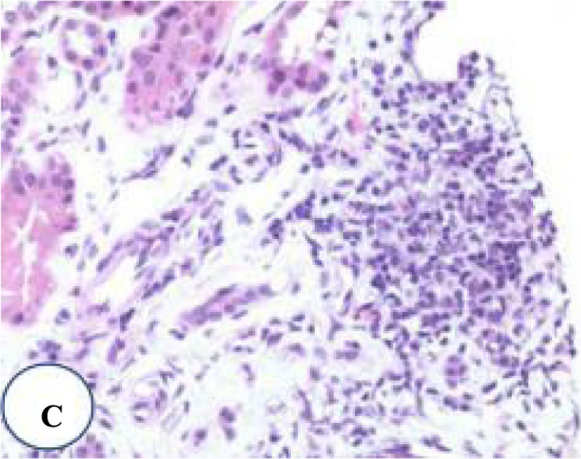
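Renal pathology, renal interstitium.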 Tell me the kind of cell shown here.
lymphocytes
